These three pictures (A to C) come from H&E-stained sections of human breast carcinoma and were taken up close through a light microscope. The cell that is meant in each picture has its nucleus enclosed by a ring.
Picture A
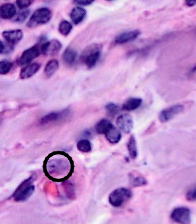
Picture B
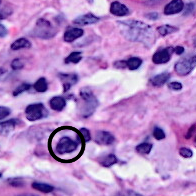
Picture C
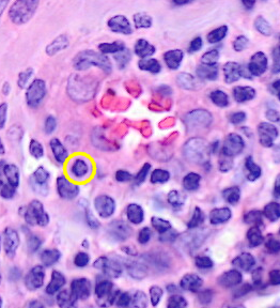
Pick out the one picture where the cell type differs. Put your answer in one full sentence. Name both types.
Picture A differs, because its cell is an endothelial cell and the rest are lymphocytes.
